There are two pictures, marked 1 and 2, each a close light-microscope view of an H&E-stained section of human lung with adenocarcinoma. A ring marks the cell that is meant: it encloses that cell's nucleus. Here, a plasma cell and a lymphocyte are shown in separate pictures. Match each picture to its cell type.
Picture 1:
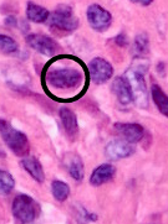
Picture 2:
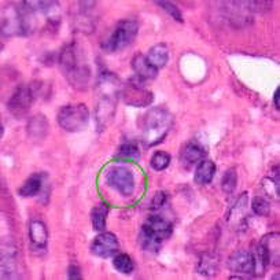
1: plasma cell
2: lymphocyte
